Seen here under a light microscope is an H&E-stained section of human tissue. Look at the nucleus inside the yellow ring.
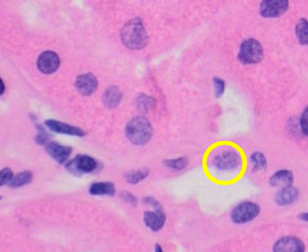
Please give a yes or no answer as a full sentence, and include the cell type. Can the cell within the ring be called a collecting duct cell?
Yes, the cell type of the cell within the ring is that of a collecting duct cell.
